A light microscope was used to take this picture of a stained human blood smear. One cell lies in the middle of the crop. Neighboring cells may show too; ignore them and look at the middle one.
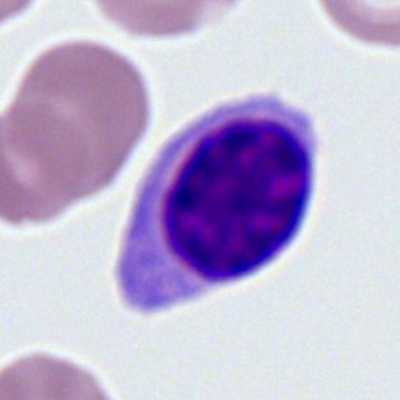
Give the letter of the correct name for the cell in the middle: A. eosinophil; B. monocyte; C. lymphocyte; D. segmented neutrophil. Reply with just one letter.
C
